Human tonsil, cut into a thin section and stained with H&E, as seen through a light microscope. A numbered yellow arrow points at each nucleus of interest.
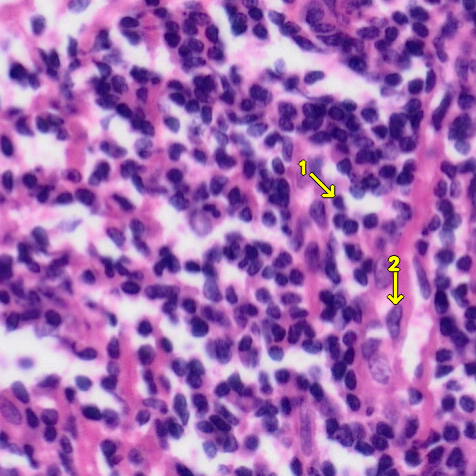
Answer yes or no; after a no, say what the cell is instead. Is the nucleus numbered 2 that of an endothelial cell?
Yes.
